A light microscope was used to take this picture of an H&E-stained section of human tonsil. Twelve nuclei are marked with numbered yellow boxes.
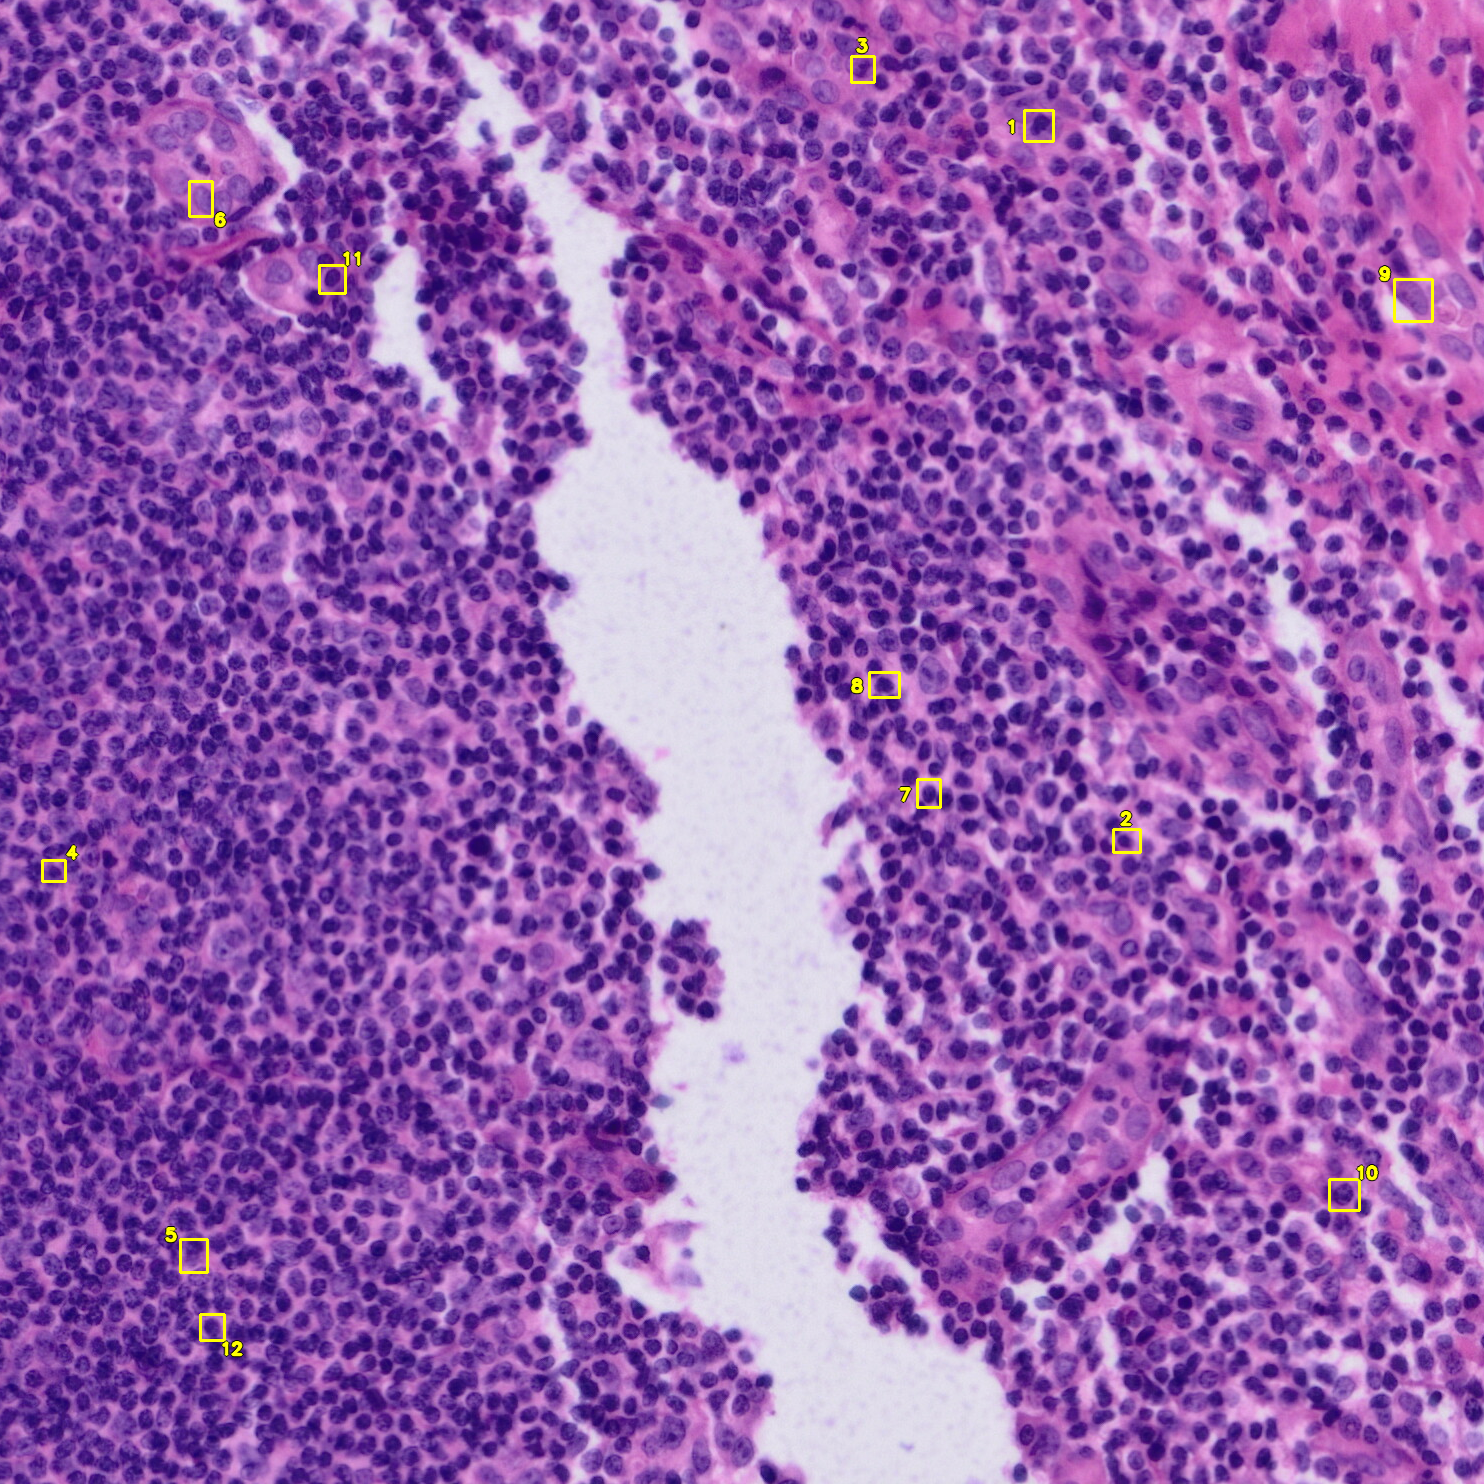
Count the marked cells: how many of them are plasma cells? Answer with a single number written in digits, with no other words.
1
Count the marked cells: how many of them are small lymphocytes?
6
